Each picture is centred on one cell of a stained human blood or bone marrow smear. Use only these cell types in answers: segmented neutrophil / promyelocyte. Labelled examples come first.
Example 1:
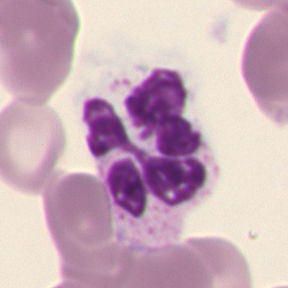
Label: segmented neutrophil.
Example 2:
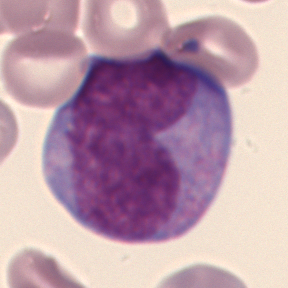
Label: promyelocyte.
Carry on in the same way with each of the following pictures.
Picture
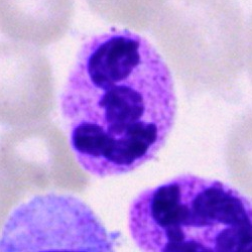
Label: segmented neutrophil.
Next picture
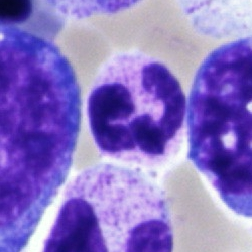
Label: segmented neutrophil.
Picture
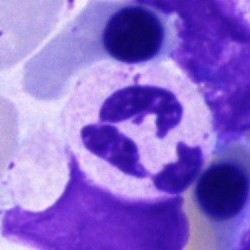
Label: segmented neutrophil.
